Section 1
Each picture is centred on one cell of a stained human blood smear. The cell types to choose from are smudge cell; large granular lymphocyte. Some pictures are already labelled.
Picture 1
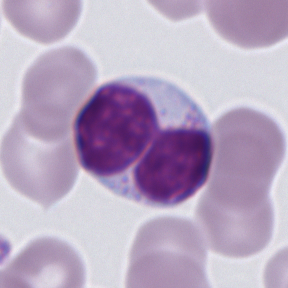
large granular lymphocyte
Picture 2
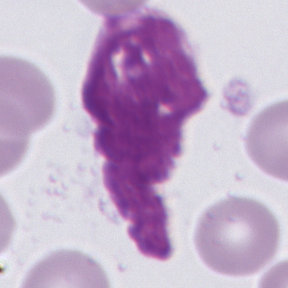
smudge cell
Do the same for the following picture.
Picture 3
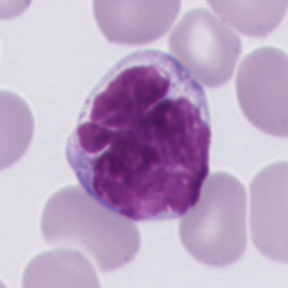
large granular lymphocyte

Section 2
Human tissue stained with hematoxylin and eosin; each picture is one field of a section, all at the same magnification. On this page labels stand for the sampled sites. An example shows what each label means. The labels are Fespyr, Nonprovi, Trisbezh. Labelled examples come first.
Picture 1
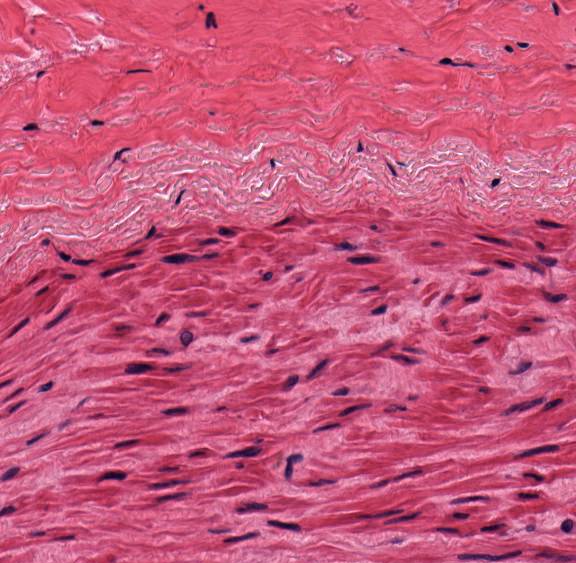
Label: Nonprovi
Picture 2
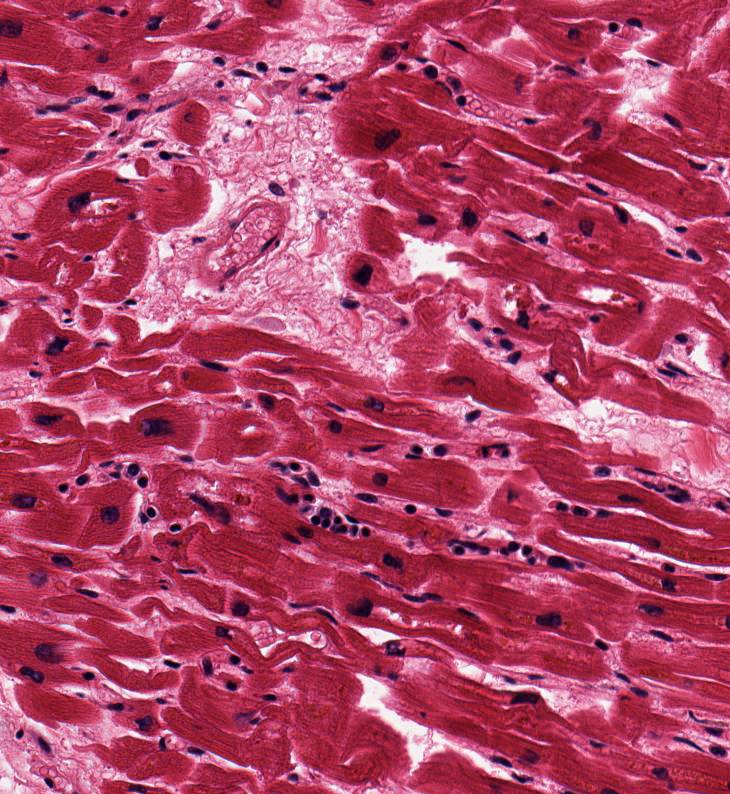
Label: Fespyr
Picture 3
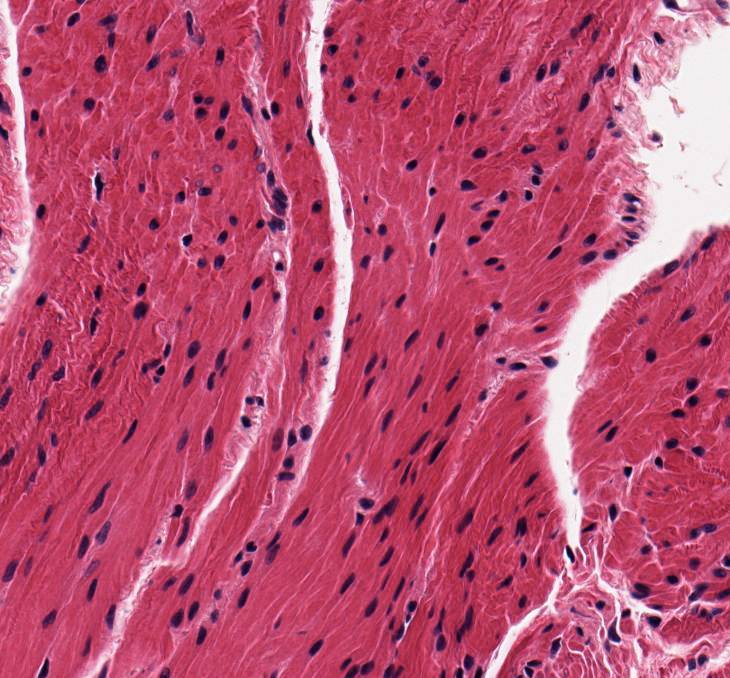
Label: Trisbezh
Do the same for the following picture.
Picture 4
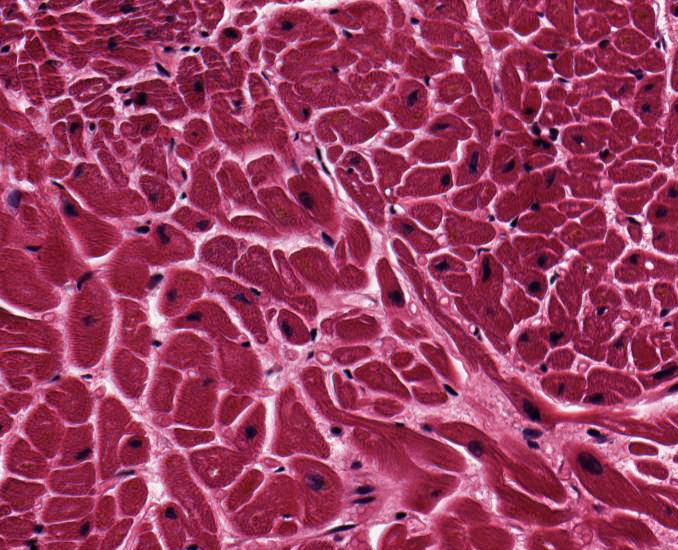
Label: Fespyr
